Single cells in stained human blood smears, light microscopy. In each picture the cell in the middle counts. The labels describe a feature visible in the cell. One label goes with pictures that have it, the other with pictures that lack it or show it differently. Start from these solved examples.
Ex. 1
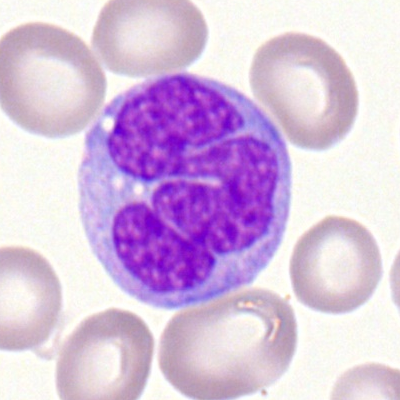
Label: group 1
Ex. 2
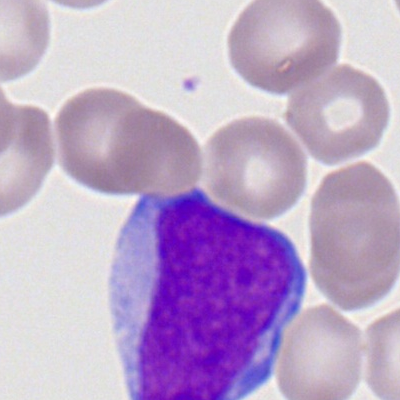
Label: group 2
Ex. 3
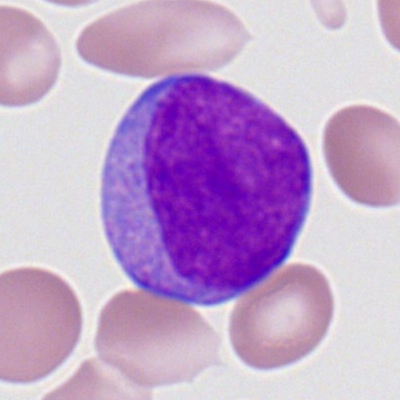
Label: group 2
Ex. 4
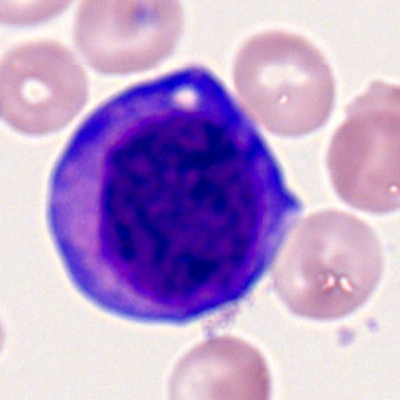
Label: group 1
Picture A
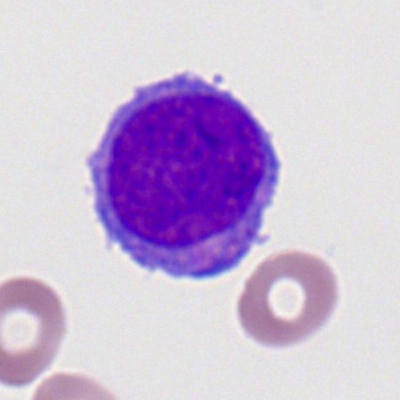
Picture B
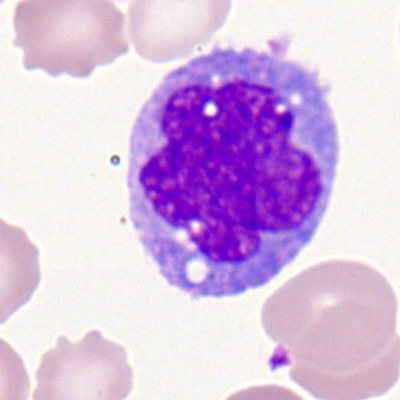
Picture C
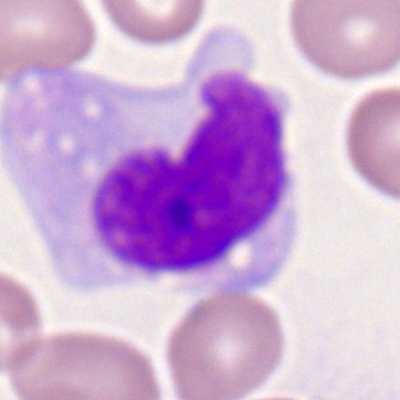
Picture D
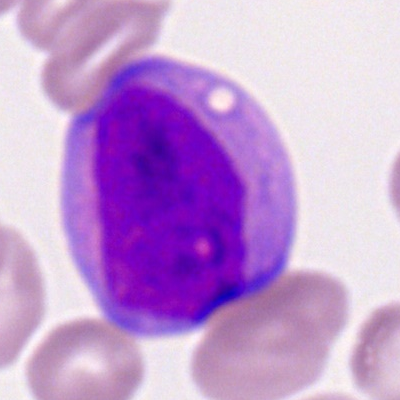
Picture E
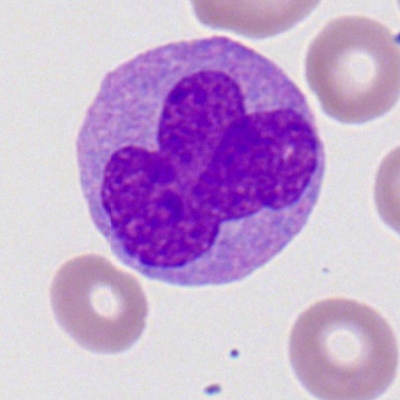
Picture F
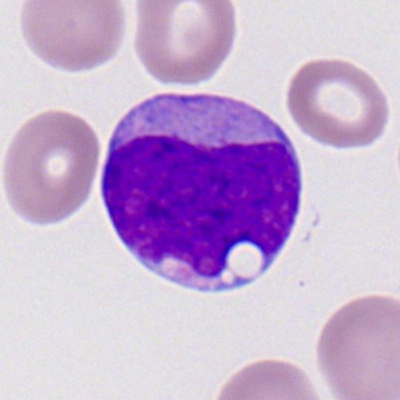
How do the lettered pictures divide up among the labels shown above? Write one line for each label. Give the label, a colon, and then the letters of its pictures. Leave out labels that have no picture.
group 1: B, C, D, F
group 2: A, E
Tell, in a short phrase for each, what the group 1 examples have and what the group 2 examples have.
In group 1: vacuoles present. In group 2: no vacuoles.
